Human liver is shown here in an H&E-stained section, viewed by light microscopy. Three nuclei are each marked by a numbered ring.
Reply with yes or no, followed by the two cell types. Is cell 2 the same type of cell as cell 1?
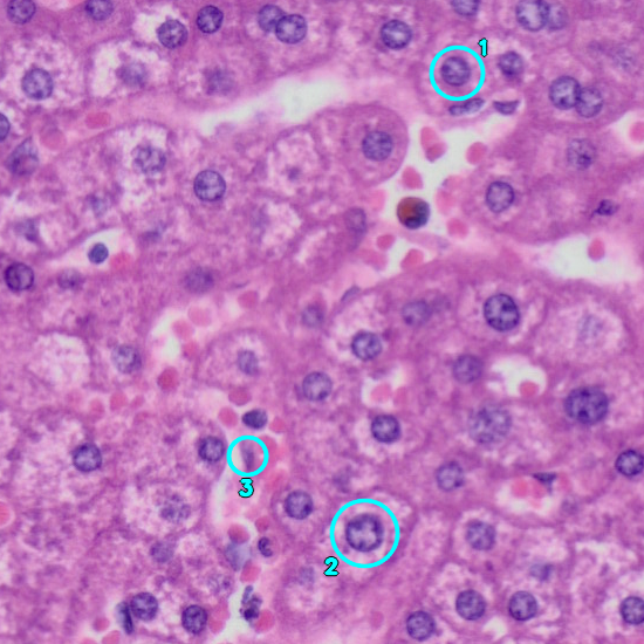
Yes, in the case of cells 2 and 1, both are hepatocytes.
